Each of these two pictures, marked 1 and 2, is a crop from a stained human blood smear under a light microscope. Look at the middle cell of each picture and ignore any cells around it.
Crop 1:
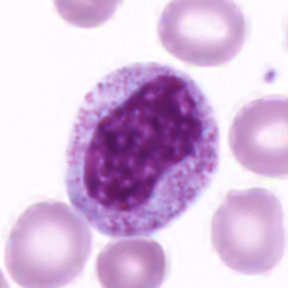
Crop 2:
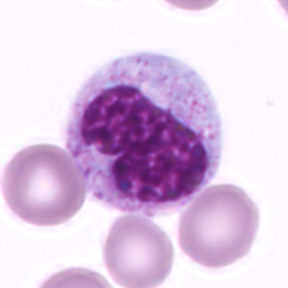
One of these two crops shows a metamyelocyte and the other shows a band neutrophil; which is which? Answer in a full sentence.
Crop 2 contains a band neutrophil, whereas crop 1 contains a metamyelocyte.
